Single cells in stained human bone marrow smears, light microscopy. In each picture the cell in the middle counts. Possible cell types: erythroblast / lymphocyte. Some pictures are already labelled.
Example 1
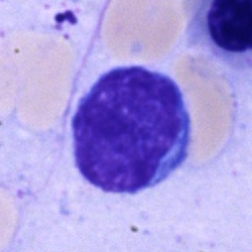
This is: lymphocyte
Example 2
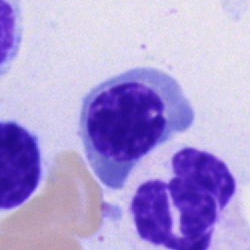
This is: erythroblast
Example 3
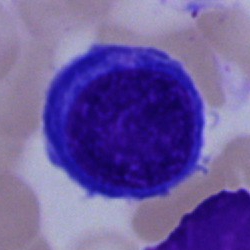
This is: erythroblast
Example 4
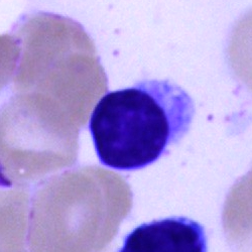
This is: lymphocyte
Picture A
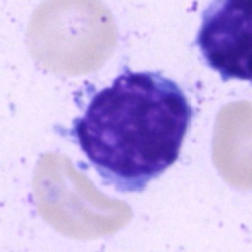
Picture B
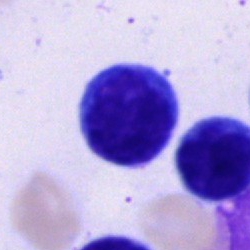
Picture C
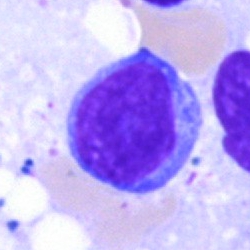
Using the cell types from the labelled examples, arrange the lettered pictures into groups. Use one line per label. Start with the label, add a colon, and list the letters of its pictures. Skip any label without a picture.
lymphocyte: A, B, C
